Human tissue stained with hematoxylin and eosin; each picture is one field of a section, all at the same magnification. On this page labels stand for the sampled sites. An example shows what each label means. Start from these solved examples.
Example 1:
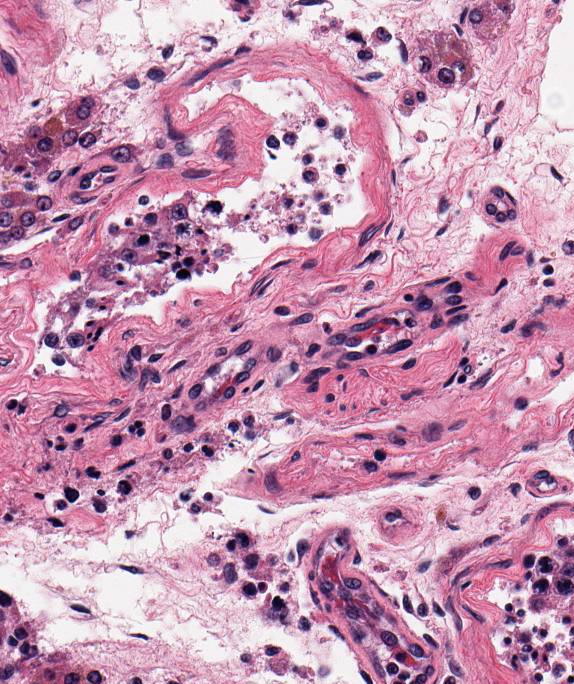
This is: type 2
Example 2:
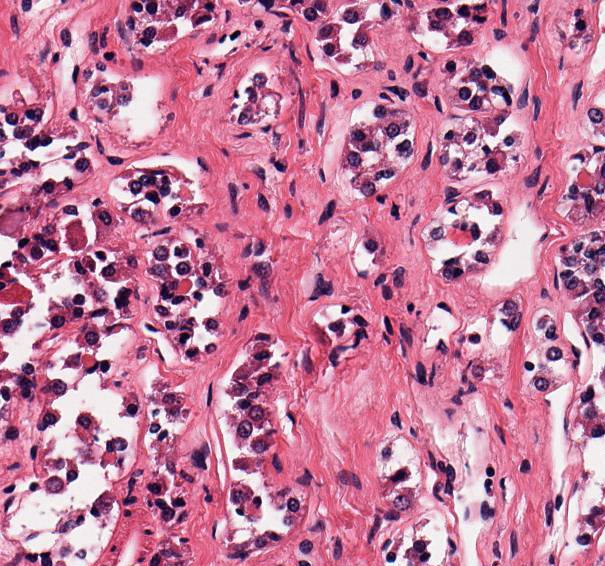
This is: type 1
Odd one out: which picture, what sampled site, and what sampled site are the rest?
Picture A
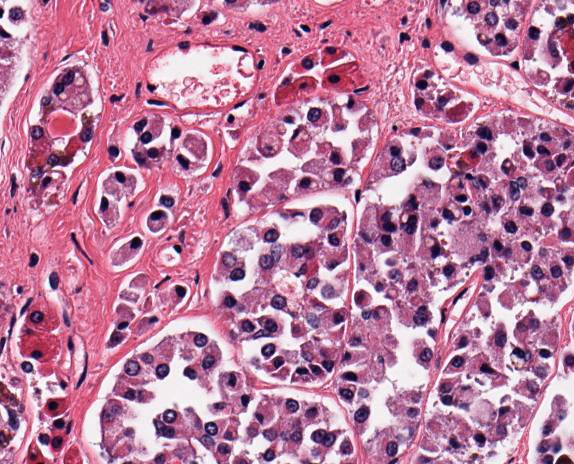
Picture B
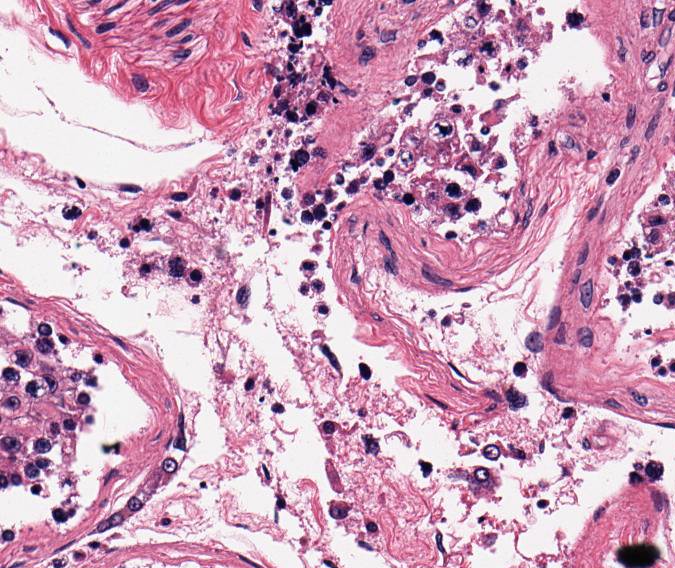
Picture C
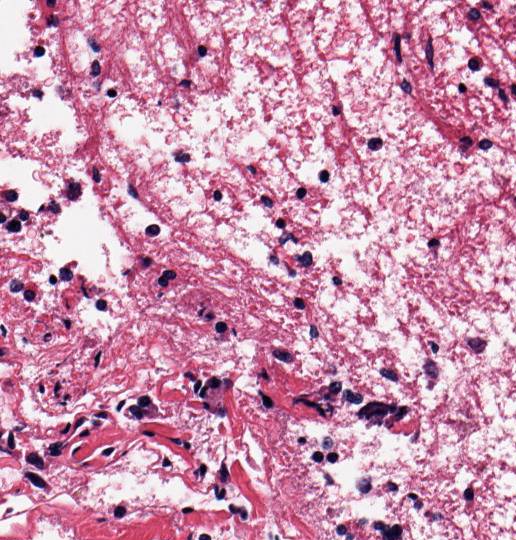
Odd one out: B (type 2). The rest: type 1.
